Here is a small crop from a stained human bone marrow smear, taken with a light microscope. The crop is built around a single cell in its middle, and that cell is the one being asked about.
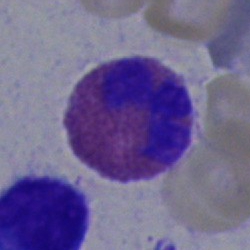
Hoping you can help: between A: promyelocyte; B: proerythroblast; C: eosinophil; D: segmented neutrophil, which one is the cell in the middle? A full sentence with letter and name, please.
The cell in the centre of the crop is an eosinophil, so option C is the correct one.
